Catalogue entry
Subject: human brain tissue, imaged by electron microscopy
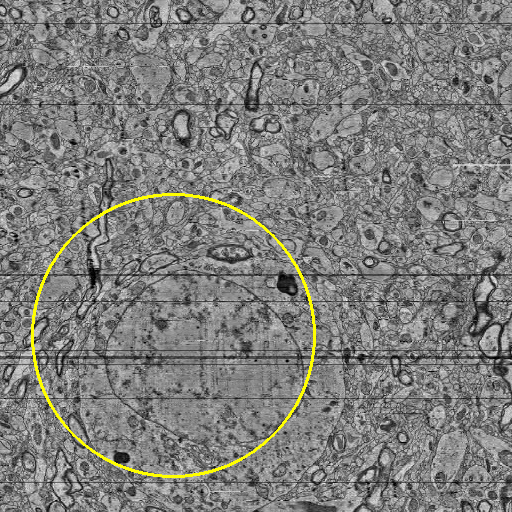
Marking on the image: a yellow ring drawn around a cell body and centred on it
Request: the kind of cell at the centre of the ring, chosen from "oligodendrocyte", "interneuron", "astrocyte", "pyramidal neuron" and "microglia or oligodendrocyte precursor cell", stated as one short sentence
The ring has a pyramidal neuron at its centre.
